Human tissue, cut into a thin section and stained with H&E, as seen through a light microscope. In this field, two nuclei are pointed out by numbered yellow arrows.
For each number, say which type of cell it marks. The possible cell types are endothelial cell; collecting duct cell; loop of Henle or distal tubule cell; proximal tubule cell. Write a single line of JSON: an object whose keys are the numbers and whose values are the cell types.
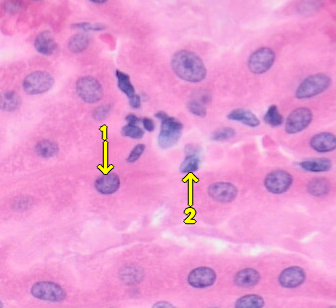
{"1": "proximal tubule cell", "2": "endothelial cell"}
